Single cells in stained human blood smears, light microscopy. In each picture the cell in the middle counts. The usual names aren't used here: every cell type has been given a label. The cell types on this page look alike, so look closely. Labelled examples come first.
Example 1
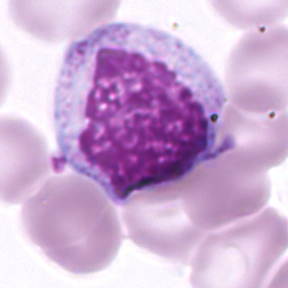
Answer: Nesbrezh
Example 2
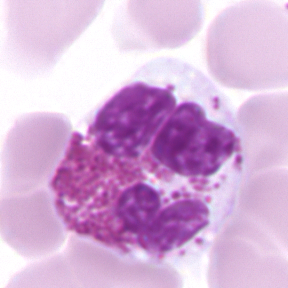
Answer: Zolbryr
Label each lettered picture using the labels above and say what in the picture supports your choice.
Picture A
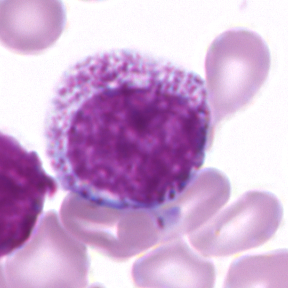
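Nesbrezh. Reason: Fine purple granules are scattered throughout the cytoplasm.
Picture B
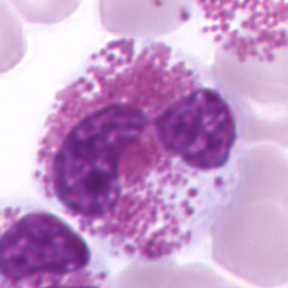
Zolbryr. Reason: The nucleus is divided into two separate lobes.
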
